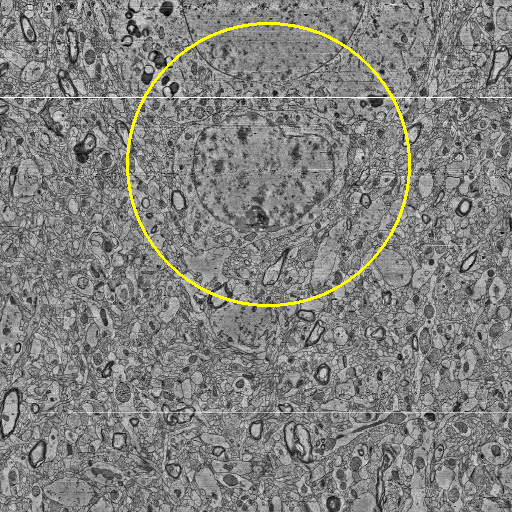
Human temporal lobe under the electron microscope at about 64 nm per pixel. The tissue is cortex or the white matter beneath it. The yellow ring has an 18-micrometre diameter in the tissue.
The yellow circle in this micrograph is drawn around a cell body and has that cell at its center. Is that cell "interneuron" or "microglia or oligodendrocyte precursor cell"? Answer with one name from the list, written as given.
interneuron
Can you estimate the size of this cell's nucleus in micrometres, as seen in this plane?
Approximately 9 micrometres across in this plane.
